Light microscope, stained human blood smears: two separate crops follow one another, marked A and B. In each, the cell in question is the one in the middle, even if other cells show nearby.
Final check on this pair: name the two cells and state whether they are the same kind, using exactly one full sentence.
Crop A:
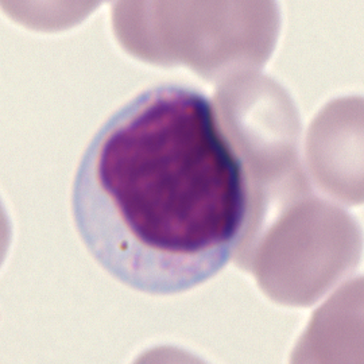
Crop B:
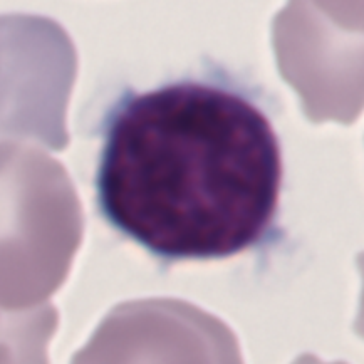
No, a large granular lymphocyte is what occupies crop A, and a hairy cell is what occupies crop B.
